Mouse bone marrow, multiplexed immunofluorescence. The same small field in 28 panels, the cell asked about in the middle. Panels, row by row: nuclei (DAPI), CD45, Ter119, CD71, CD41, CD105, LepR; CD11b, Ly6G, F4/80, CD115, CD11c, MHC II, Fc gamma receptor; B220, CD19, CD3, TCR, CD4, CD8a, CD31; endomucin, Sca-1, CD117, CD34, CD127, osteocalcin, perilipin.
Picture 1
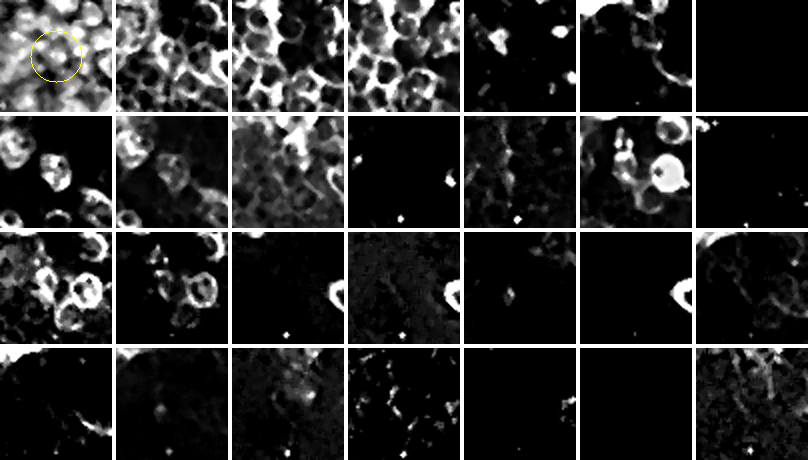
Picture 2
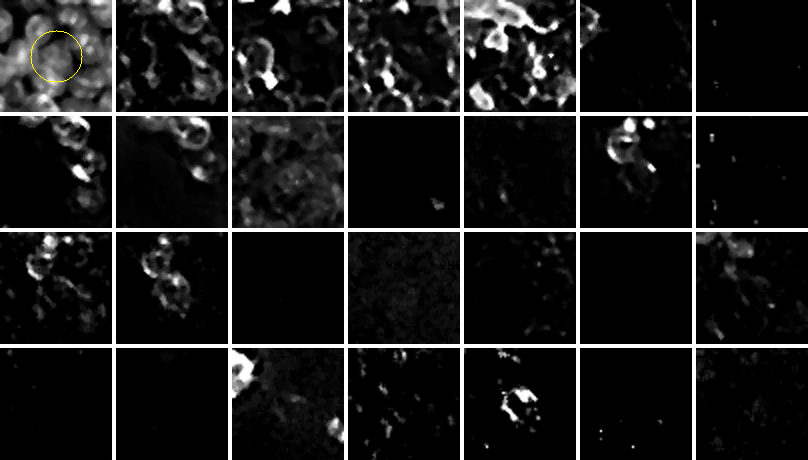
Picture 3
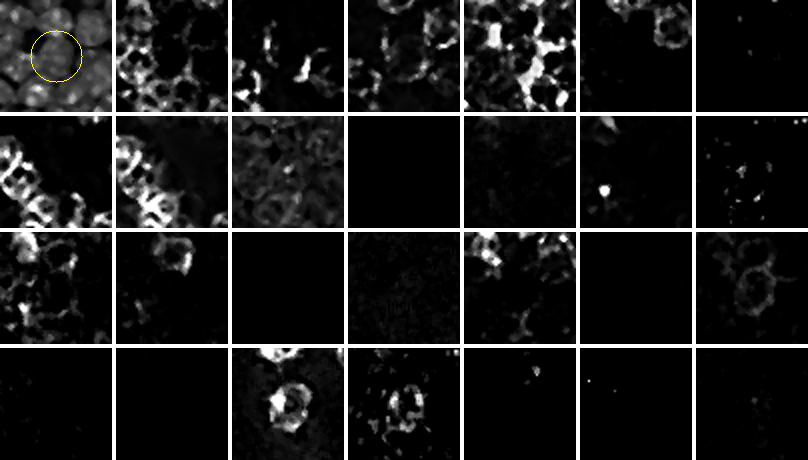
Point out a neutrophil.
That is picture 1.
